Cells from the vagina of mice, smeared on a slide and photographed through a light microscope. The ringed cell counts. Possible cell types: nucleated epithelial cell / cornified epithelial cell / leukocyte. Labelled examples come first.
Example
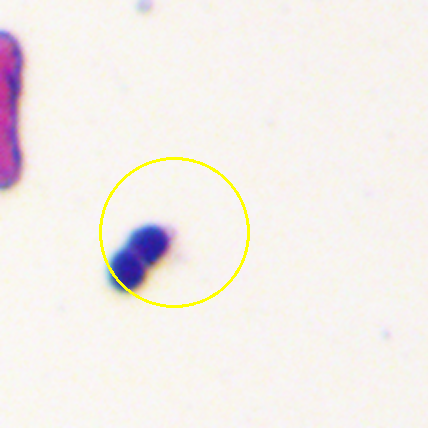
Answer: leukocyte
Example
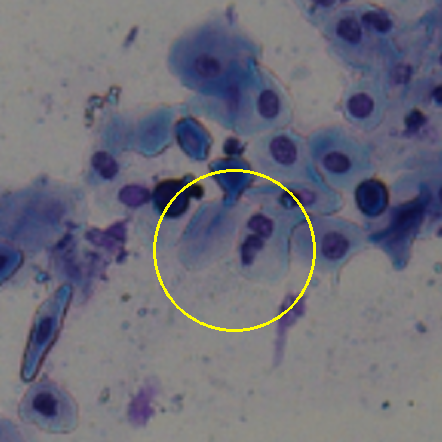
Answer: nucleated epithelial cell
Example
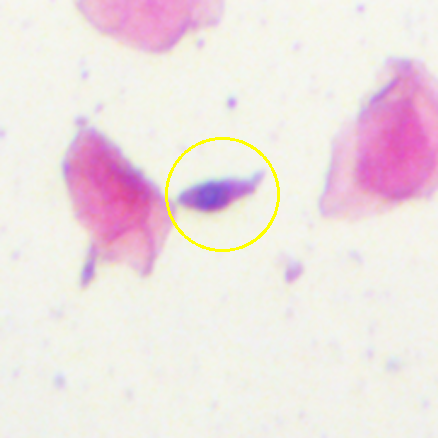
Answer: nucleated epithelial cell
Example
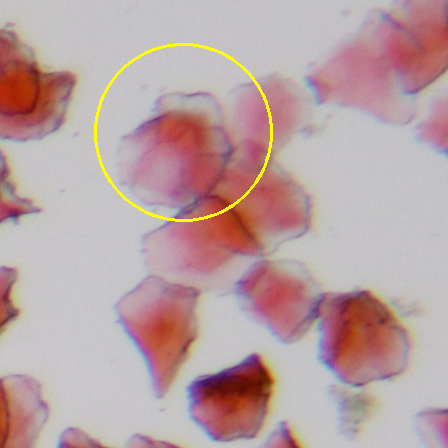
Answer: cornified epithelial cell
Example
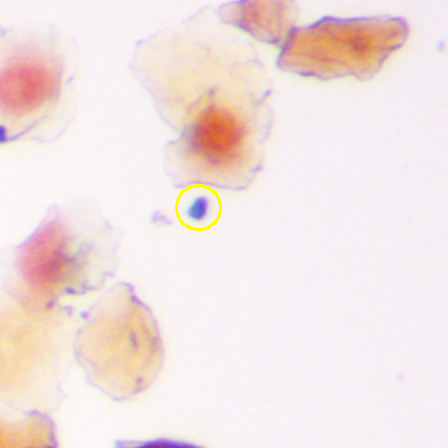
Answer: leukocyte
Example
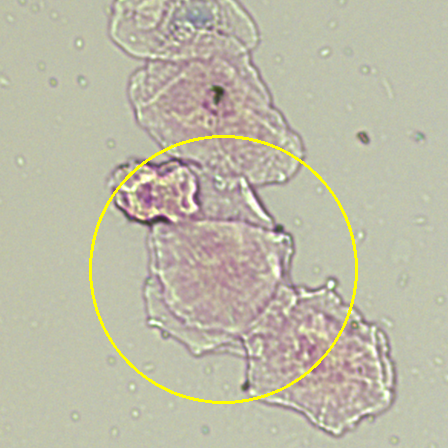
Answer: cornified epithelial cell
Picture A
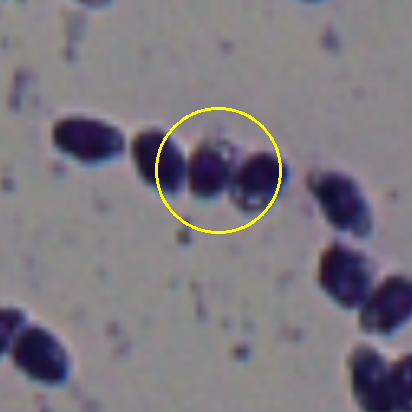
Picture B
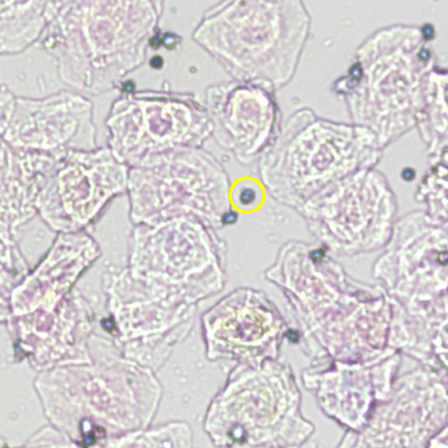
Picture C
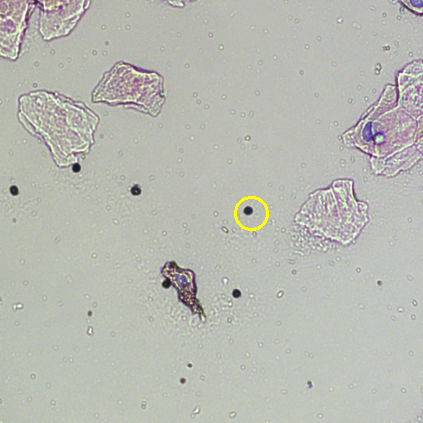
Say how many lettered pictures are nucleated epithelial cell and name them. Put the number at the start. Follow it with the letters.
0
